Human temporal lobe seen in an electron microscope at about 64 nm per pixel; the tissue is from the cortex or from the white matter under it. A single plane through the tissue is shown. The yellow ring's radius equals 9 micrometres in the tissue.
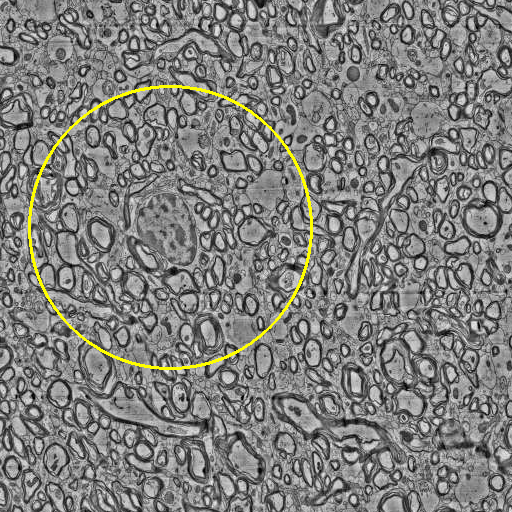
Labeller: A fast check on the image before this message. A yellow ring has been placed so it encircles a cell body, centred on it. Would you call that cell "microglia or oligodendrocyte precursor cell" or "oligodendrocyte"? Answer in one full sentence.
In this image, a microglial cell or oligodendrocyte precursor cell is the cell on which the yellow ring is centred.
